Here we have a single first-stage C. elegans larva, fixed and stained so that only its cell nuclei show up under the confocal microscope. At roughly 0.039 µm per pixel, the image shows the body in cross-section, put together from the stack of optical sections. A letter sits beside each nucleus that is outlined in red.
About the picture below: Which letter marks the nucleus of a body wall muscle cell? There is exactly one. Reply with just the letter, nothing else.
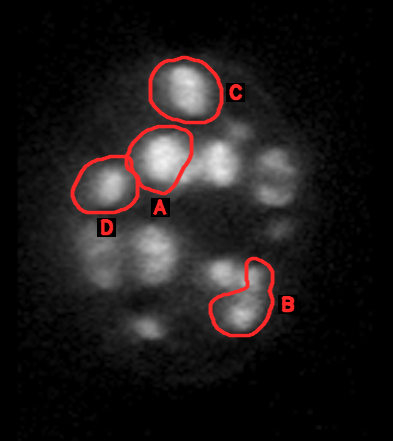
B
